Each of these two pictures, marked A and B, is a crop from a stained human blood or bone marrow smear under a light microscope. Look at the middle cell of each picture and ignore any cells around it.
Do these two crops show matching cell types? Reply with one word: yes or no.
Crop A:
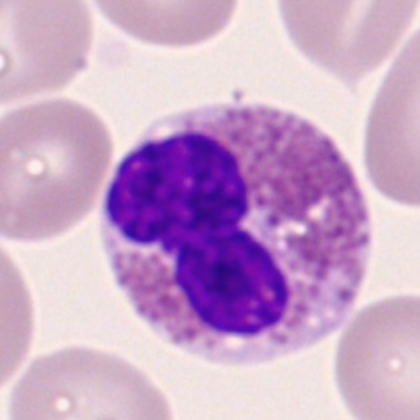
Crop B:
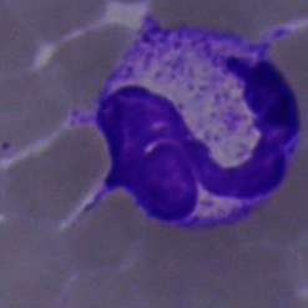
no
